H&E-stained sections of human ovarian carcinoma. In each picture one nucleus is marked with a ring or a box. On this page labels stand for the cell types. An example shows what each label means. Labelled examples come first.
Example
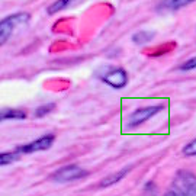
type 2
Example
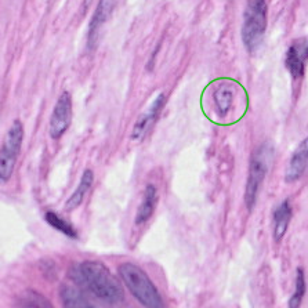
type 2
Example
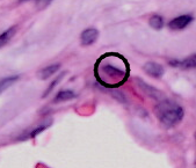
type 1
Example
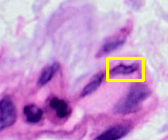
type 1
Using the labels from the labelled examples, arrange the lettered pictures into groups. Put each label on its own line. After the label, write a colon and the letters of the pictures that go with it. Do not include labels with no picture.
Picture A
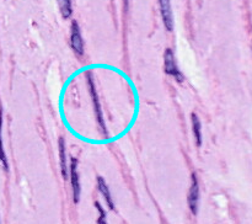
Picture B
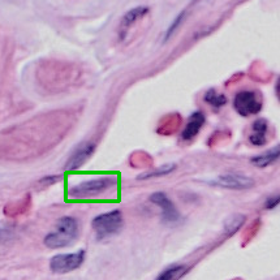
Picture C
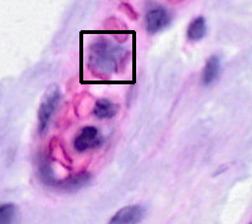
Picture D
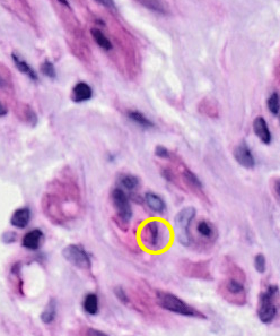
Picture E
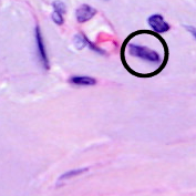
type 2: A, E
type 1: B, C, D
